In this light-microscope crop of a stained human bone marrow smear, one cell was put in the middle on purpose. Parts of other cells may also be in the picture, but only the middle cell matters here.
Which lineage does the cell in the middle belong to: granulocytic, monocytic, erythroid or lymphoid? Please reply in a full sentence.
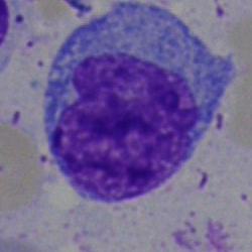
Lineage designation for the cell in the middle reads monocytic.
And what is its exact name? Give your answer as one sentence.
The central cell, amid any neighbouring cells, is a monocyte.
